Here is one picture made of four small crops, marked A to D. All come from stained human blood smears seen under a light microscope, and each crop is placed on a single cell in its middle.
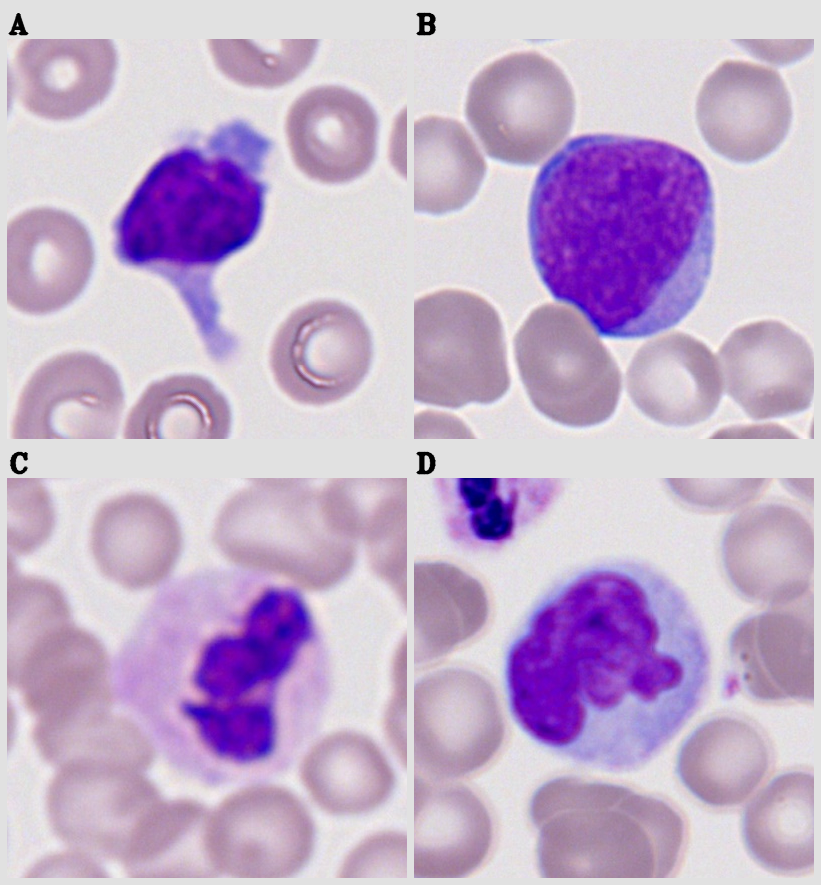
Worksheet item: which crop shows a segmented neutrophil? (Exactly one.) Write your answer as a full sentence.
It is crop C, not any other, that shows a segmented neutrophil.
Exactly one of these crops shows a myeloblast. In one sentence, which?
Crop B is the one in the set with a myeloblast at the center.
